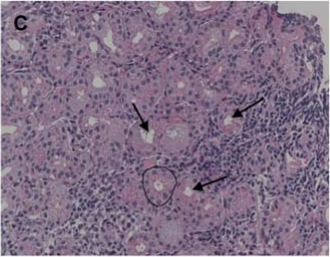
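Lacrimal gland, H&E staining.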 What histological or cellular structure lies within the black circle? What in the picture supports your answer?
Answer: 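The circle encloses a small rounded group of cells with a central opening. The group lies among similar rounded units.
Acinus.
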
